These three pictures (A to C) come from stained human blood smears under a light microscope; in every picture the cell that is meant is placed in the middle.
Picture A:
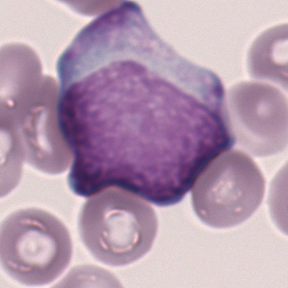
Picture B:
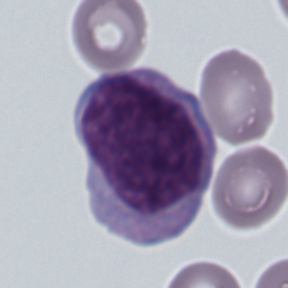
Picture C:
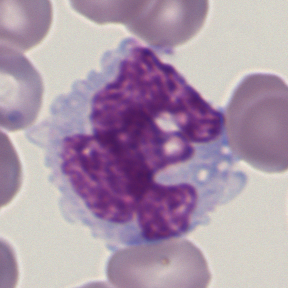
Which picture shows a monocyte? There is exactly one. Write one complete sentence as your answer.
Picture C is the one that shows the monocyte.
